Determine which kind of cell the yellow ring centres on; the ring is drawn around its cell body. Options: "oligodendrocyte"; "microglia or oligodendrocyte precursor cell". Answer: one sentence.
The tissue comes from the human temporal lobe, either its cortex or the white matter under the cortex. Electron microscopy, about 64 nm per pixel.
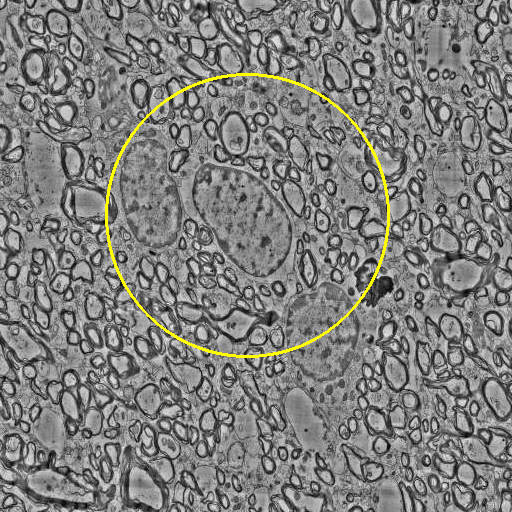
The ring centres on a microglial cell or oligodendrocyte precursor cell.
